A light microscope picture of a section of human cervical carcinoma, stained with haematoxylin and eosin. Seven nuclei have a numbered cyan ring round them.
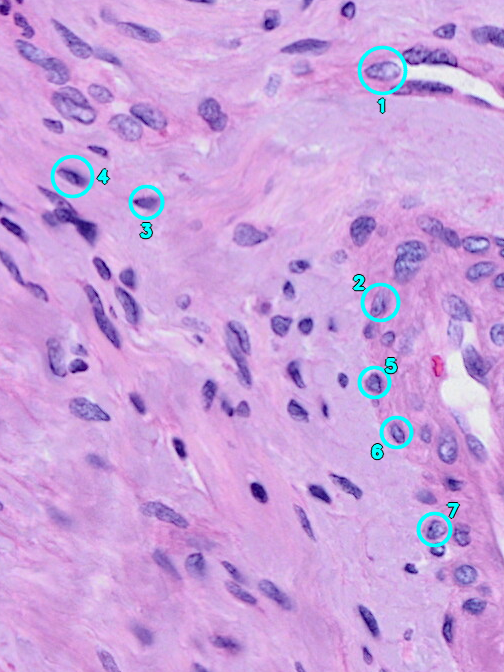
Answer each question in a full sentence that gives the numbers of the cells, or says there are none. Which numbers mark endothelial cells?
Only the cell with number 1 is an endothelial cell.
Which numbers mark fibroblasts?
Cells numbered 3 and 4 belong to the group of fibroblasts.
